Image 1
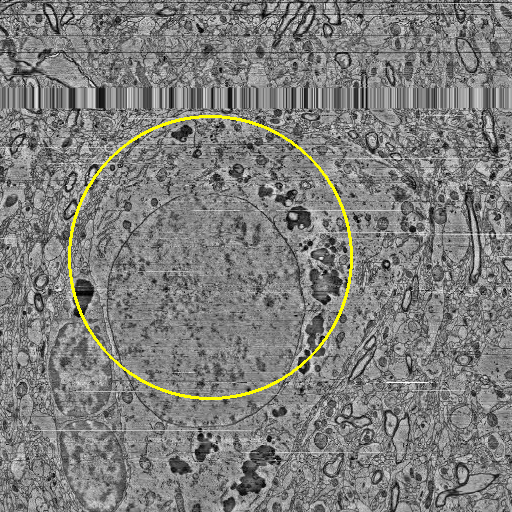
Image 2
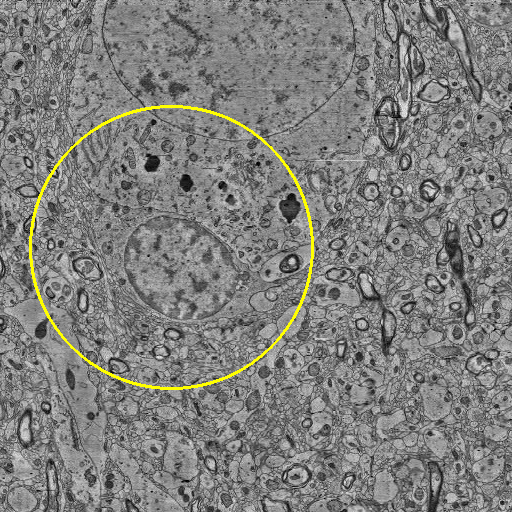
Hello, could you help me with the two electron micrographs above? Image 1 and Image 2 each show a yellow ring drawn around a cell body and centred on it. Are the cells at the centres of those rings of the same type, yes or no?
no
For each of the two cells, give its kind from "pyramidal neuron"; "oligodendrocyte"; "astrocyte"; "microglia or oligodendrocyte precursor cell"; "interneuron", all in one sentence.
The first picture has a pyramidal neuron in its ring, the second has an oligodendrocyte.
